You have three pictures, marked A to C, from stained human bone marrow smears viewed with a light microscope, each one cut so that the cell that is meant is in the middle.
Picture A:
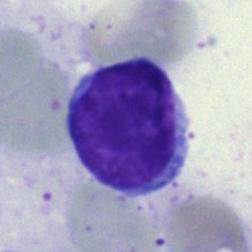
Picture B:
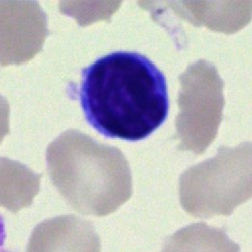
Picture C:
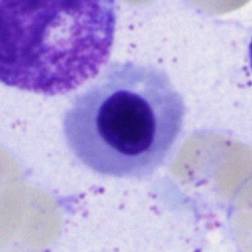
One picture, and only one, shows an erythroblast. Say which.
C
